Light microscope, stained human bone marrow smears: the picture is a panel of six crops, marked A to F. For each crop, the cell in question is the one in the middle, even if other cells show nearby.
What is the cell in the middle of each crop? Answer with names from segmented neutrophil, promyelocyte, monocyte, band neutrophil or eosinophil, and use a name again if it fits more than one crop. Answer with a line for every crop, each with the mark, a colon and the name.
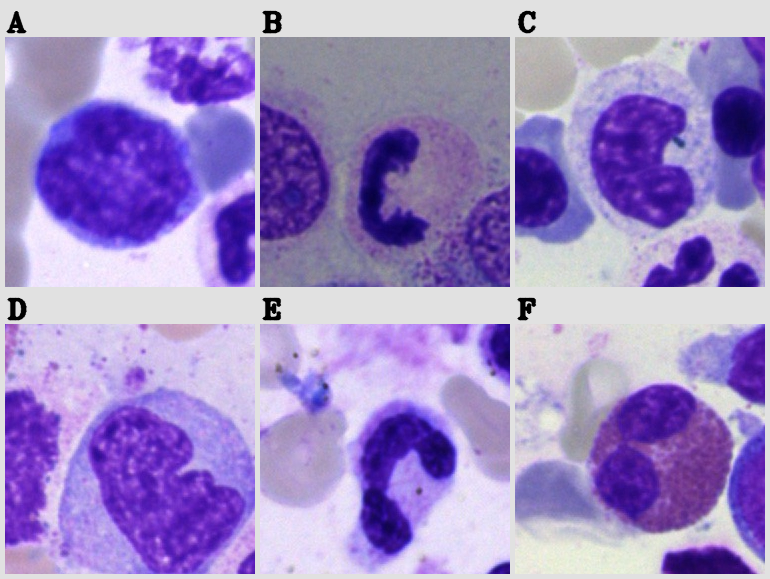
A: monocyte
B: segmented neutrophil
C: band neutrophil
D: monocyte
E: segmented neutrophil
F: eosinophil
